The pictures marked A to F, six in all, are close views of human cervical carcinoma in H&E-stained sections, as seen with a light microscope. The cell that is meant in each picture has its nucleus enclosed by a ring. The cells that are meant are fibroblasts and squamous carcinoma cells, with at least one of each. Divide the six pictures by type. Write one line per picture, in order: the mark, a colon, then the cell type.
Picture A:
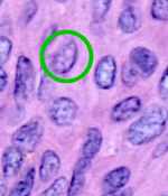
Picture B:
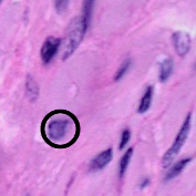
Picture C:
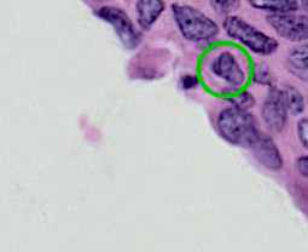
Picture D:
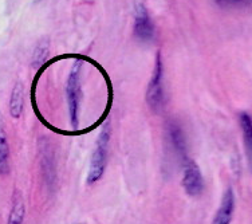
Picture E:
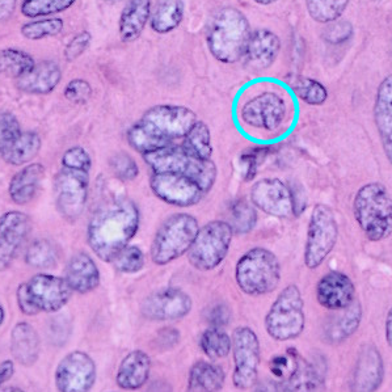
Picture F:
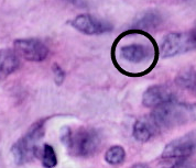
A: squamous carcinoma cell
B: fibroblast
C: squamous carcinoma cell
D: fibroblast
E: squamous carcinoma cell
F: fibroblast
